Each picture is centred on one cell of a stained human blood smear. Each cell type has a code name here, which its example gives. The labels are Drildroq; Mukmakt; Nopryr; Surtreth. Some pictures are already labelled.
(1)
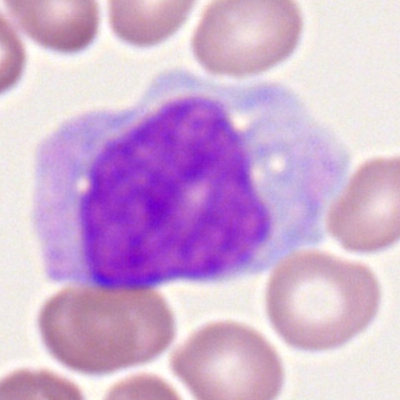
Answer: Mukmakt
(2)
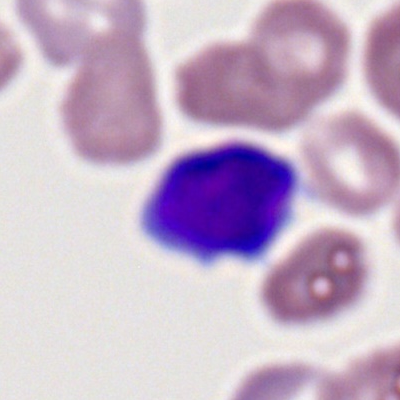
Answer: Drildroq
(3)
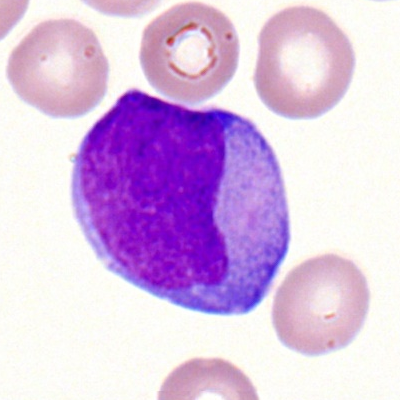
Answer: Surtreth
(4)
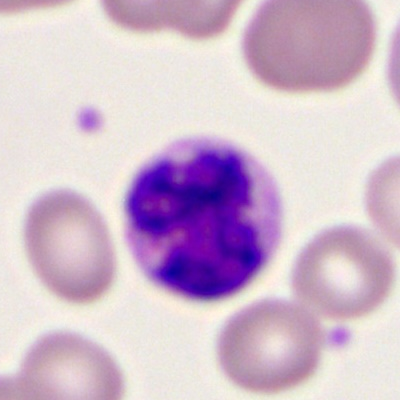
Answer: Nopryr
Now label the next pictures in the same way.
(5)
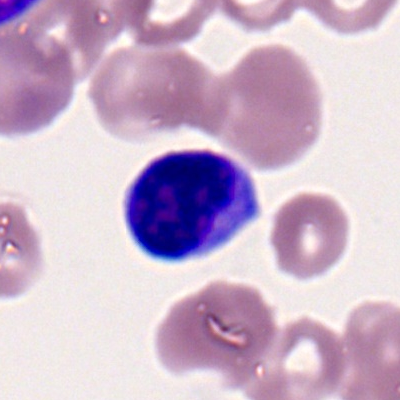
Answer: Drildroq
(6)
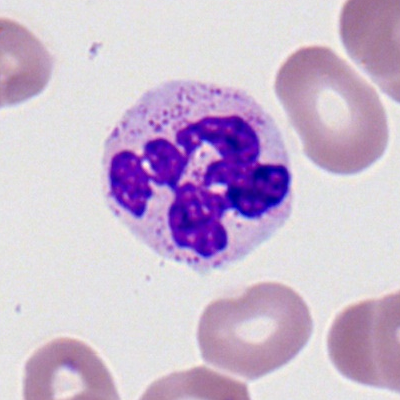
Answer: Nopryr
